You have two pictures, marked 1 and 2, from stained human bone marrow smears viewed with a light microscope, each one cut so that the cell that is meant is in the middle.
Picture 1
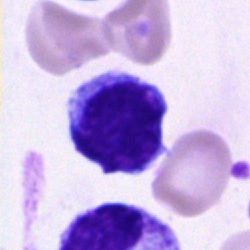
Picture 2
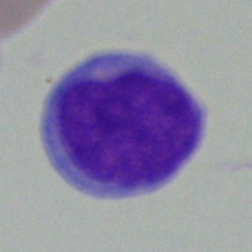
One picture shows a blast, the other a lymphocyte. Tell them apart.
1: lymphocyte
2: blast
